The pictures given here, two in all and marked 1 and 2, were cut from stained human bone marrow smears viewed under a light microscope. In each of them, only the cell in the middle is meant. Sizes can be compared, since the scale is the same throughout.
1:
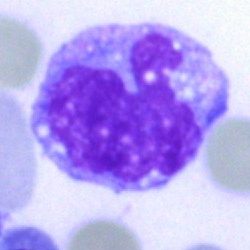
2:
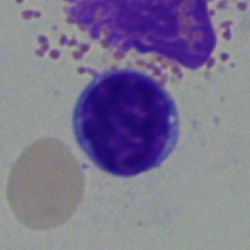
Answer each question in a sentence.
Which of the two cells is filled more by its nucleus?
The nucleus fills more of the cell in picture 2 than in picture 1.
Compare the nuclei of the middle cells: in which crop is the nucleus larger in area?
Picture 1 shows the larger nucleus; it covers about 2 times the area of the nucleus in picture 2.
